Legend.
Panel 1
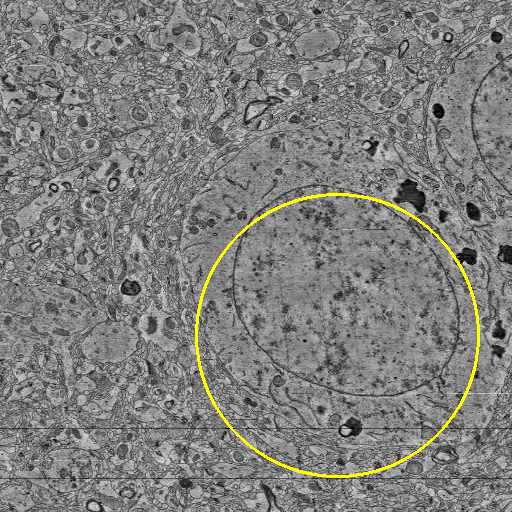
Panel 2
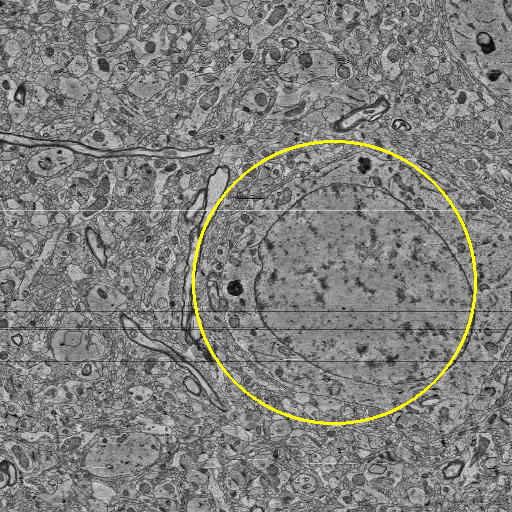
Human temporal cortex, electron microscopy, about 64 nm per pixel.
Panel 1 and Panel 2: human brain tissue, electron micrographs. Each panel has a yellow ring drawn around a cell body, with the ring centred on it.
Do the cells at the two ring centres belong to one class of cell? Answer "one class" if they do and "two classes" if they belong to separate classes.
one class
